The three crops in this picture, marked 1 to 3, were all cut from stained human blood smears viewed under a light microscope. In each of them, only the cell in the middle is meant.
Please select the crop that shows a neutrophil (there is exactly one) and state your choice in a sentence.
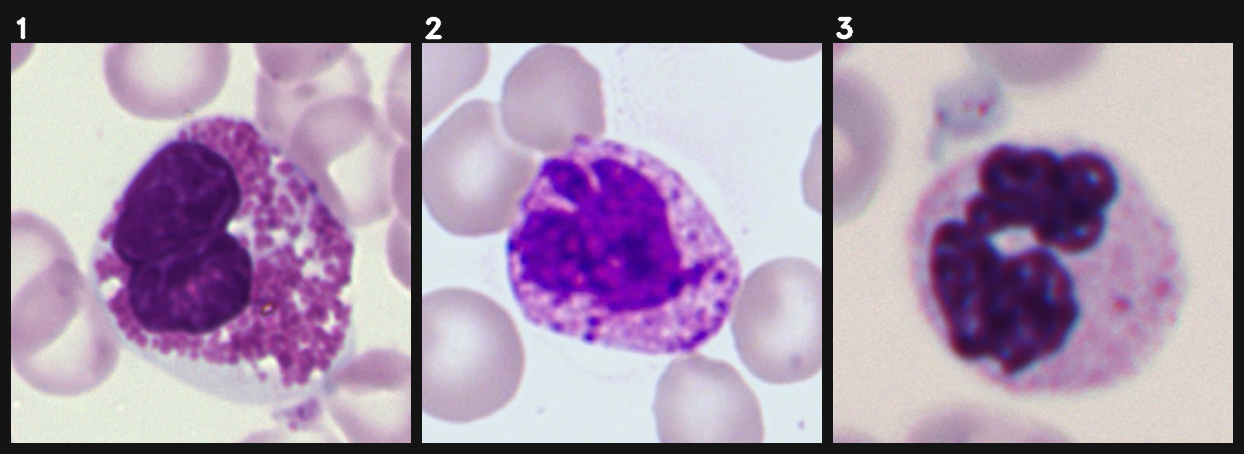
Crop 3 shows a neutrophil, and no other crop does.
